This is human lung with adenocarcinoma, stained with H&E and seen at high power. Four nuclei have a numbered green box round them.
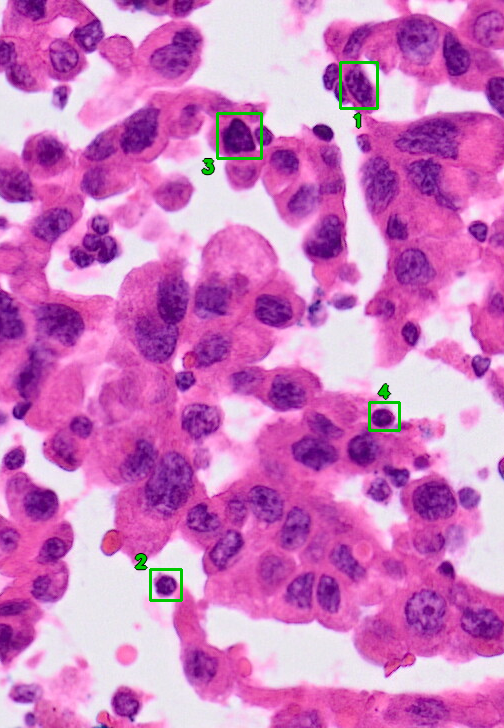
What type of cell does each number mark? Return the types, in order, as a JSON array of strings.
["carcinoma cell", "lymphocyte", "carcinoma cell", "lymphocyte"]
